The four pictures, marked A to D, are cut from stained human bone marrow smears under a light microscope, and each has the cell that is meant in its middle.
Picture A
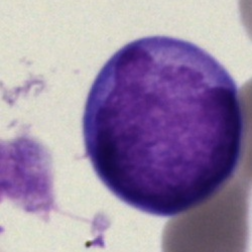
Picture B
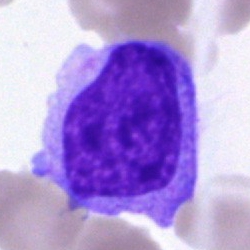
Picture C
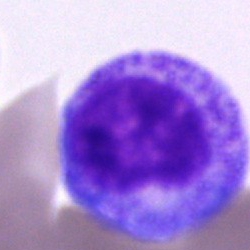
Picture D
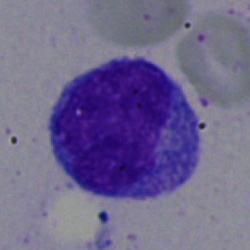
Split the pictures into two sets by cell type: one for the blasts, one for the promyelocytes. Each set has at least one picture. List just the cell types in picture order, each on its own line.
blast
blast
promyelocyte
promyelocyte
